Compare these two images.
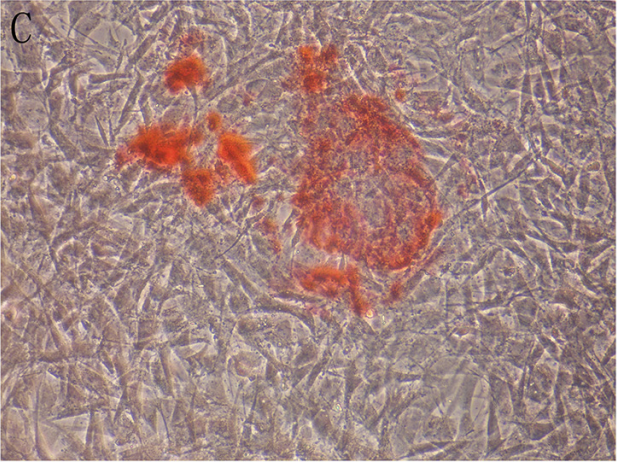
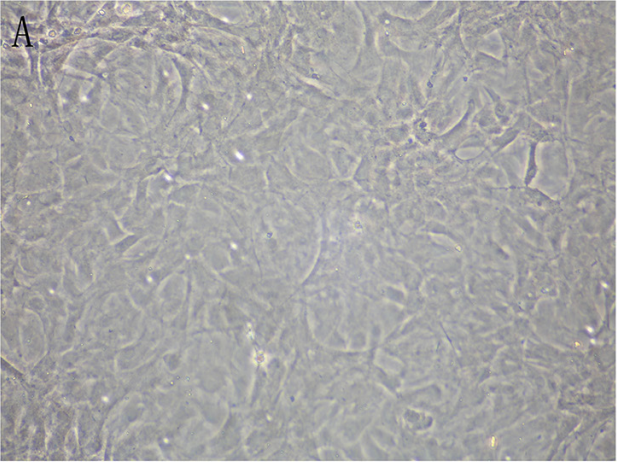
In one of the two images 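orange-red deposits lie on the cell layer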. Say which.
The first image.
